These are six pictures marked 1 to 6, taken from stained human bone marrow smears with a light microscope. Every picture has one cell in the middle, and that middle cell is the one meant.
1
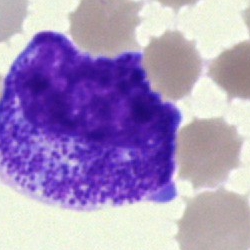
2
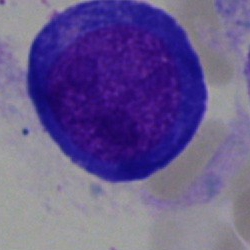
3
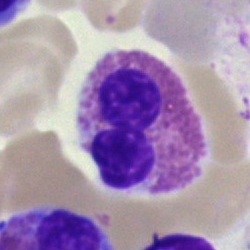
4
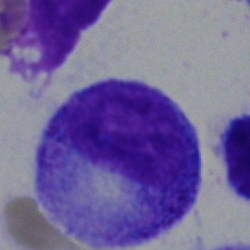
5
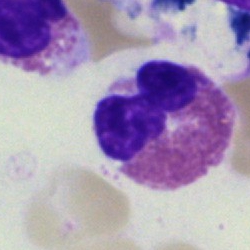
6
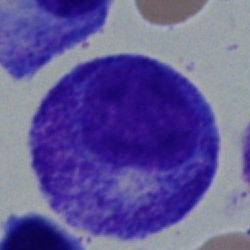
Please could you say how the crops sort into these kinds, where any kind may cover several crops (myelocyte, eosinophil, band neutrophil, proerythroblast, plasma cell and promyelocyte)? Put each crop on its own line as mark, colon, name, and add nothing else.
1: promyelocyte
2: proerythroblast
3: eosinophil
4: myelocyte
5: eosinophil
6: promyelocyte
